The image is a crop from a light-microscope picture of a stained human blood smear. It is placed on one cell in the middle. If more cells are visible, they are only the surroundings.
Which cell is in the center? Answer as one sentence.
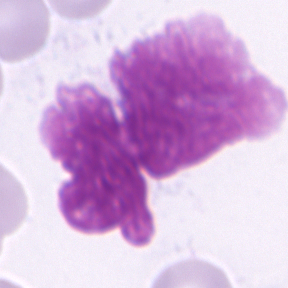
Where the crop is centred, there is a smudge cell.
